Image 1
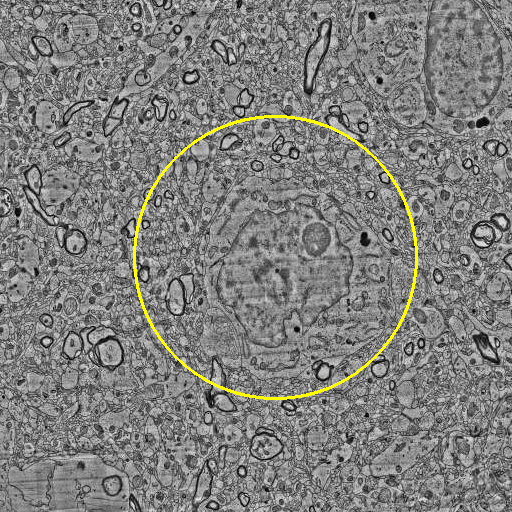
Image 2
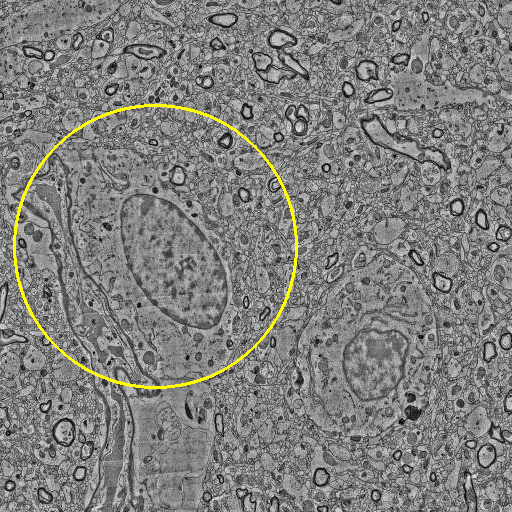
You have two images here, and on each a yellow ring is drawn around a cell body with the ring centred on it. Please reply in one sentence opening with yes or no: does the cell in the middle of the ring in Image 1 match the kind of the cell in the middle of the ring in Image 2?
No, the two images show cells of two kinds at the centres of their rings.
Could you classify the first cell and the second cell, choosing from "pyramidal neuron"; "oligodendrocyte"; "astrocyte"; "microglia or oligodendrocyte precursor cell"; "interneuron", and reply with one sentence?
The second cell is a microglial cell or oligodendrocyte precursor cell, while the first is an interneuron.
